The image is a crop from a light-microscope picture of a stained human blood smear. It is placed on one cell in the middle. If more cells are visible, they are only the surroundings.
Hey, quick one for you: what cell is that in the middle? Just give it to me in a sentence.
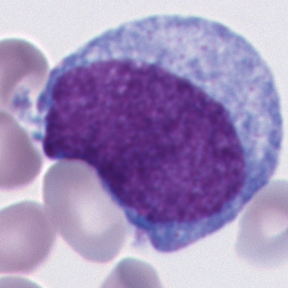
At the center of the crop sits a promyelocyte.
